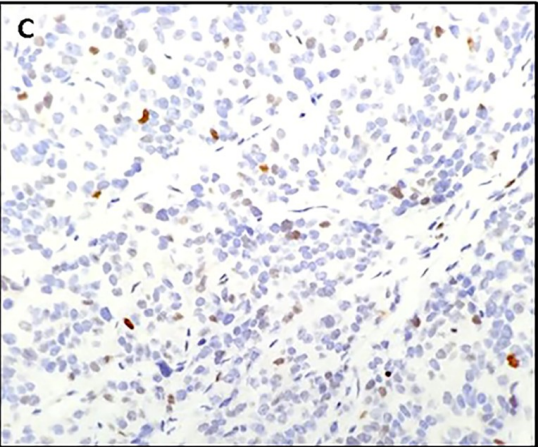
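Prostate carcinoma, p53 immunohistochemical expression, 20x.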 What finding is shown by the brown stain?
weak and patchy (less than 5%) nuclear staining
